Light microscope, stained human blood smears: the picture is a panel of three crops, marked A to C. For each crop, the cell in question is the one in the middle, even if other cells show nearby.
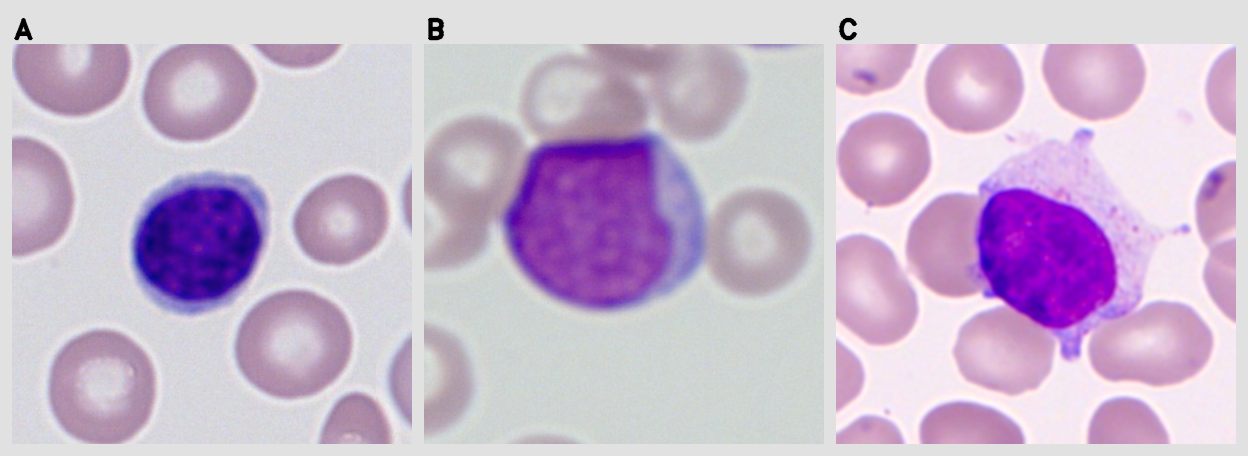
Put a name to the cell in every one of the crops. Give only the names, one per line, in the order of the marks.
lymphocyte
myeloblast
lymphocyte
